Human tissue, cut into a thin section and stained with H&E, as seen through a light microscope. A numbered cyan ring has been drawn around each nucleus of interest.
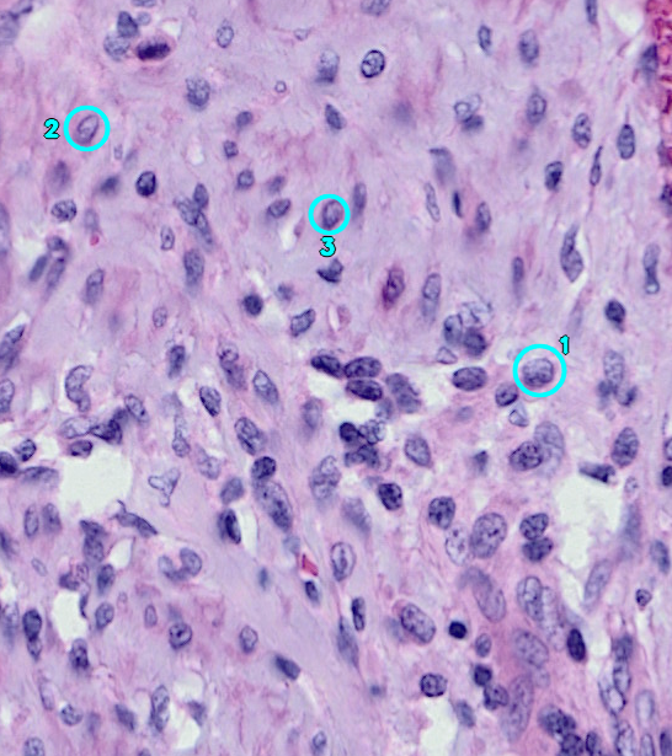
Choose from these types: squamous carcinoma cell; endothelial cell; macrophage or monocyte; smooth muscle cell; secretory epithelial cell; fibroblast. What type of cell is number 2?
smooth muscle cell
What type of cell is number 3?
smooth muscle cell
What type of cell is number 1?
macrophage or monocyte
